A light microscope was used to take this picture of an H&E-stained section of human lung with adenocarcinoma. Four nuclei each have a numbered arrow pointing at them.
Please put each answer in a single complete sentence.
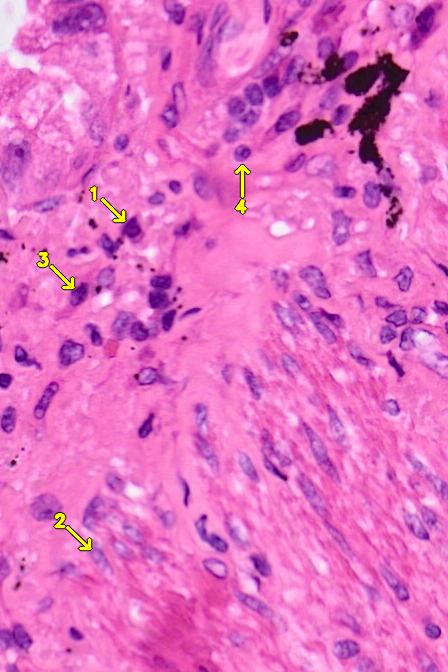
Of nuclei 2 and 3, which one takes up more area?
The larger nucleus is 2, at roughly 1.5 times the area of 3.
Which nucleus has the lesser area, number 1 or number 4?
Number 4 is smaller, since number 1 takes up about 1.5 times as much area.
